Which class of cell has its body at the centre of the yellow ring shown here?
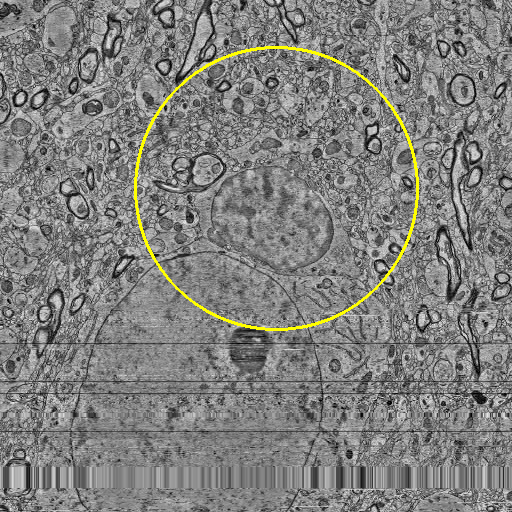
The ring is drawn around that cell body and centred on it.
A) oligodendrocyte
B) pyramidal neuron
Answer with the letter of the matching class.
A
